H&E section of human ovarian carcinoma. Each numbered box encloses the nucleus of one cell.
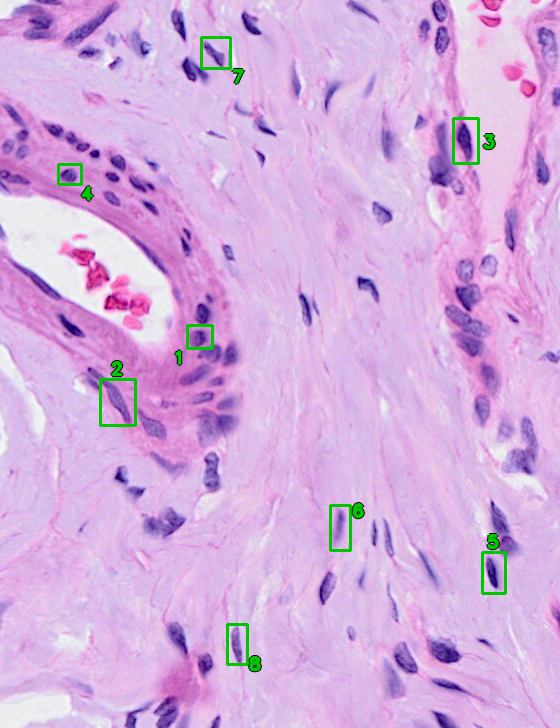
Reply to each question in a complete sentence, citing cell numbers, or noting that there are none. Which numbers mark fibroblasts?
Cells 5, 6, 7 and 8 share one type; they are fibroblasts.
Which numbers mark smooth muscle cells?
Regarding the numbered cells 1, 2 and 4, these are smooth muscle cells.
